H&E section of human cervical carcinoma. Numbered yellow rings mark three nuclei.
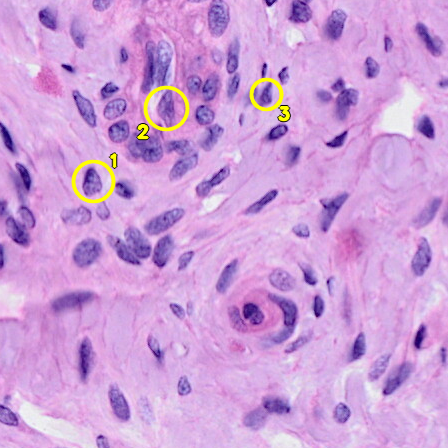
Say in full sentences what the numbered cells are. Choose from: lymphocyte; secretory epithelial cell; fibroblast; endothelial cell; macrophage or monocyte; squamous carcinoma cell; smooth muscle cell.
Cells 1 and 3 are fibroblasts. Cell 2 is an endothelial cell.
